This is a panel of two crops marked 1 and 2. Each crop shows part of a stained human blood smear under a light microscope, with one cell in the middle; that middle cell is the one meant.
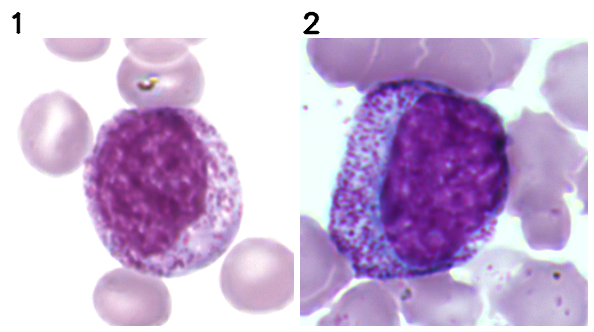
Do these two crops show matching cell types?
no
